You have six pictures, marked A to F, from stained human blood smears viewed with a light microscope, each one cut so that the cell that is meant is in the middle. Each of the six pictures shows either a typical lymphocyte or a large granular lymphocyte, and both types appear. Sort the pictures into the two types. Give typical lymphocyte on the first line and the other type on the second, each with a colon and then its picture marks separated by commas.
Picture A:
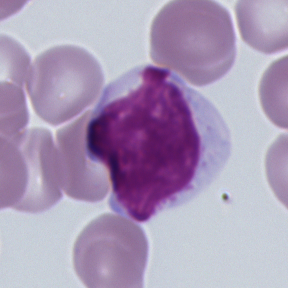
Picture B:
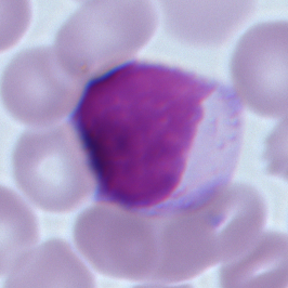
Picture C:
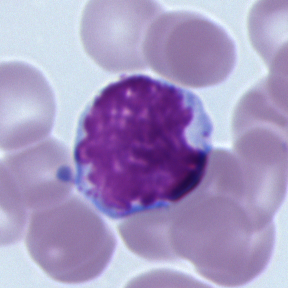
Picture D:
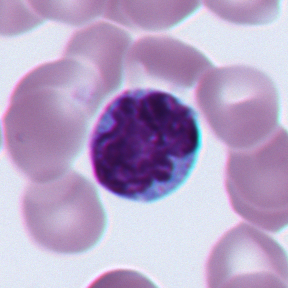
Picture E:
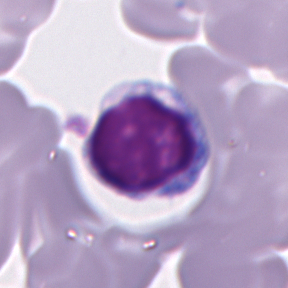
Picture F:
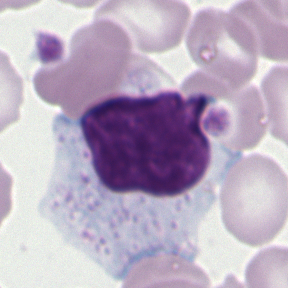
typical lymphocyte: D, E
large granular lymphocyte: A, B, C, F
